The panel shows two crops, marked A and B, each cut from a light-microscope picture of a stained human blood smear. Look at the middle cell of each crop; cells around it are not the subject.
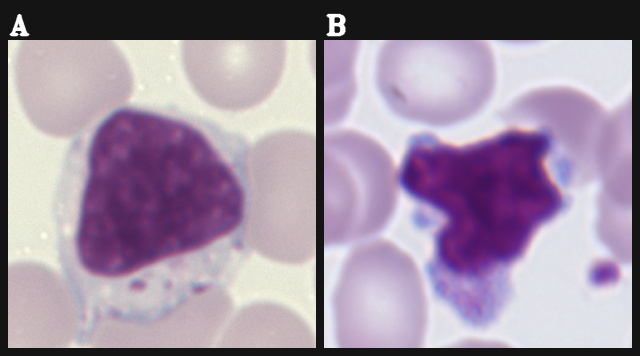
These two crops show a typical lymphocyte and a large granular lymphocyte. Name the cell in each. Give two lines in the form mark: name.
A: large granular lymphocyte
B: typical lymphocyte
